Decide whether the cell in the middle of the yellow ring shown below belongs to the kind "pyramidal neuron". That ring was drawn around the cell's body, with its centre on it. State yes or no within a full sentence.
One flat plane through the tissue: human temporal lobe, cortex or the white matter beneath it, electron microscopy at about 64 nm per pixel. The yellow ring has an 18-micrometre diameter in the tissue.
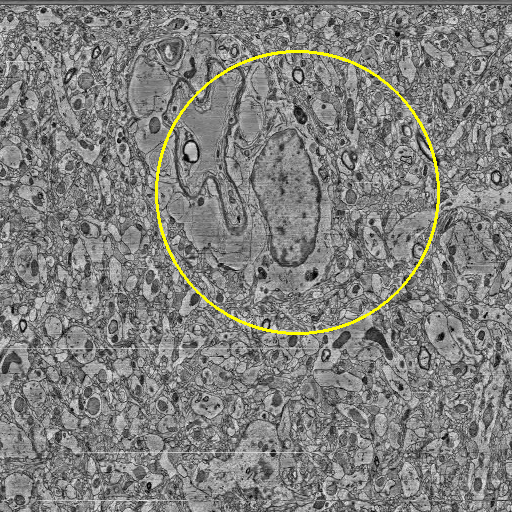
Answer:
No, the cell whose body lies at the ring's centre in the picture belongs to a different kind.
